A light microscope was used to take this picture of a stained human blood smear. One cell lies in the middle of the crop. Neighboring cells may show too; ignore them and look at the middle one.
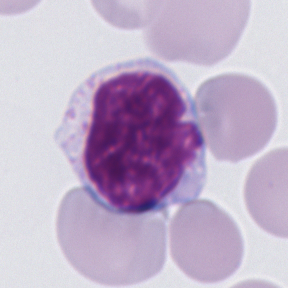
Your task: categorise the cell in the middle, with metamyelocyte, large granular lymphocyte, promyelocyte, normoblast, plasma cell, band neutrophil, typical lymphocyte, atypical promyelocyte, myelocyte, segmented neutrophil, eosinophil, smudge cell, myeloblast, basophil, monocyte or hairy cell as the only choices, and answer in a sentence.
The crop's centre is taken up by a large granular lymphocyte.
